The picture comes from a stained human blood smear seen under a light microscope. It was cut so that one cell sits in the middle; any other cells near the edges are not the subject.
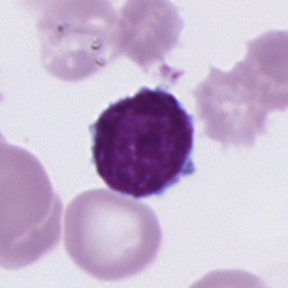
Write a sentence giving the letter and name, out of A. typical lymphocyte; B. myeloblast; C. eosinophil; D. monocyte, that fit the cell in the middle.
With the cell in the middle being a typical lymphocyte, option A is the correct choice.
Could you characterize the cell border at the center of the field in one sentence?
A smooth outline is absent here, replaced by ragged stretches or projections.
